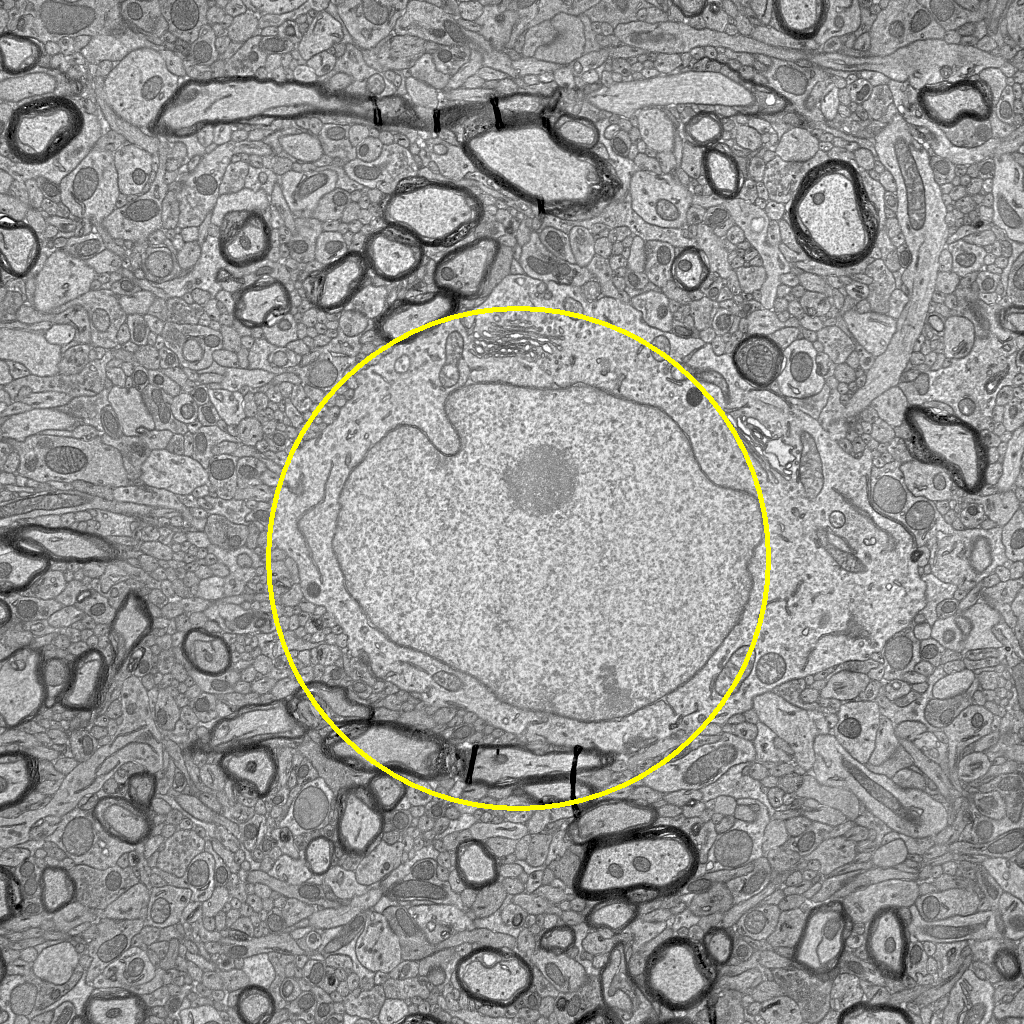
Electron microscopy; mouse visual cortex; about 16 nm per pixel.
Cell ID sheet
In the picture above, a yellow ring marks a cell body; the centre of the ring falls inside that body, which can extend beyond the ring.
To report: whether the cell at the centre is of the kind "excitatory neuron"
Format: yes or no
yes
